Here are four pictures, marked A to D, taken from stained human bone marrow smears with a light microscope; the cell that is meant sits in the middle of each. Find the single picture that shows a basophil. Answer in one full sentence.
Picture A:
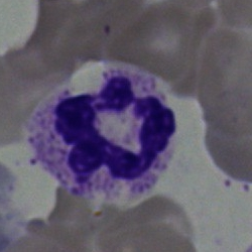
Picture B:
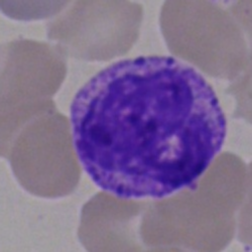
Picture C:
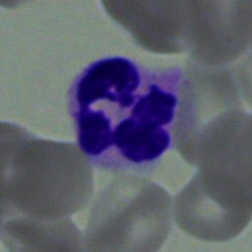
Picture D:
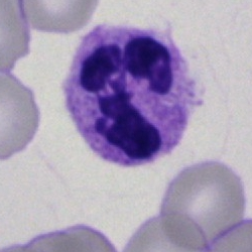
Picture B shows the basophil.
